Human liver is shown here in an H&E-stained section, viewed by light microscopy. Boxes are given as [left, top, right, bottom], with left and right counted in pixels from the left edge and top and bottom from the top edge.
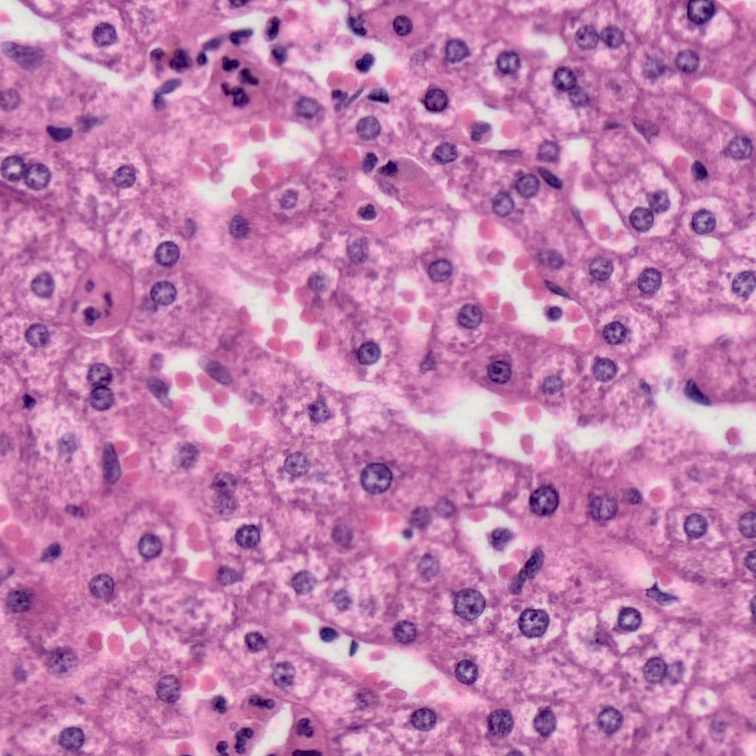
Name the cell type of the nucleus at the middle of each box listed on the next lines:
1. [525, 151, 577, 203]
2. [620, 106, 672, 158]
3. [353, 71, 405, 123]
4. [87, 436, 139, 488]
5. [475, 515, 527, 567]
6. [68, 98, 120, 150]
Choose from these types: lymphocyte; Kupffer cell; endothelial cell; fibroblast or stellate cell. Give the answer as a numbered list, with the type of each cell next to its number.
1. fibroblast or stellate cell
2. endothelial cell
3. fibroblast or stellate cell
4. Kupffer cell
5. Kupffer cell
6. endothelial cell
